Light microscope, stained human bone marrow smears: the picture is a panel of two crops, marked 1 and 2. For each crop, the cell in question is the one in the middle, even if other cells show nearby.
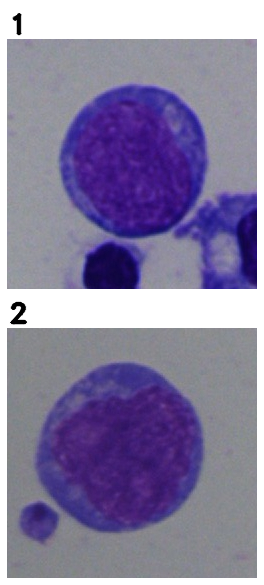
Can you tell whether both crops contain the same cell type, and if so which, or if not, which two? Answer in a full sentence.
Yes, at the centre of both crops are blasts.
